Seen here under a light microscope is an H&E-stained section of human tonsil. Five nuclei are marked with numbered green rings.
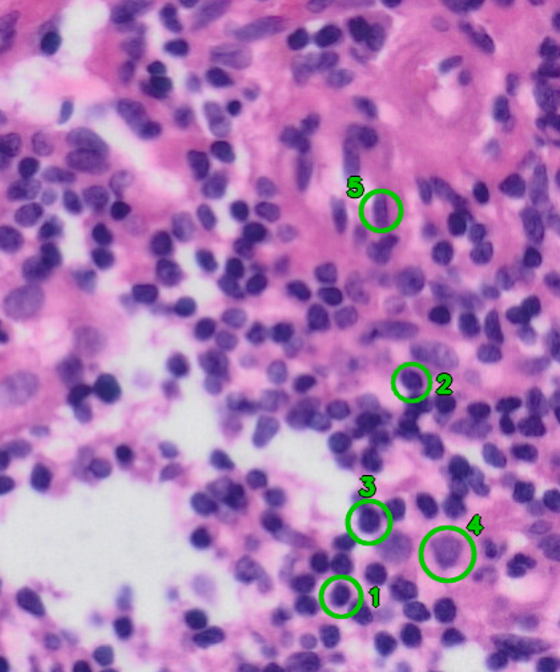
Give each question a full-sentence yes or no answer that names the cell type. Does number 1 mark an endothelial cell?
No, in terms of cell type, cell 1 is a small lymphocyte, not an endothelial cell.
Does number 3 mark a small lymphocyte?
Yes. The cell carrying number 3 is a small lymphocyte.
